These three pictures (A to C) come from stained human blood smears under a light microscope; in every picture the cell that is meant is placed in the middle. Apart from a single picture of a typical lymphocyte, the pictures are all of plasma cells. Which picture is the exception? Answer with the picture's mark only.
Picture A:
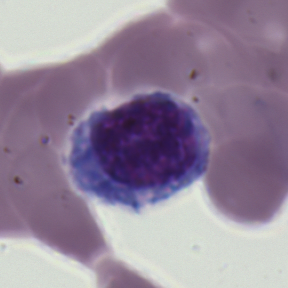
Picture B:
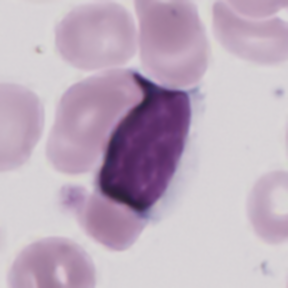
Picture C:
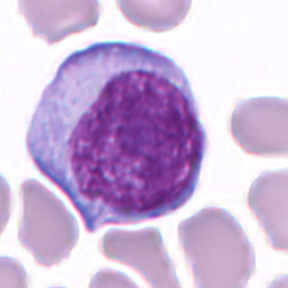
B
